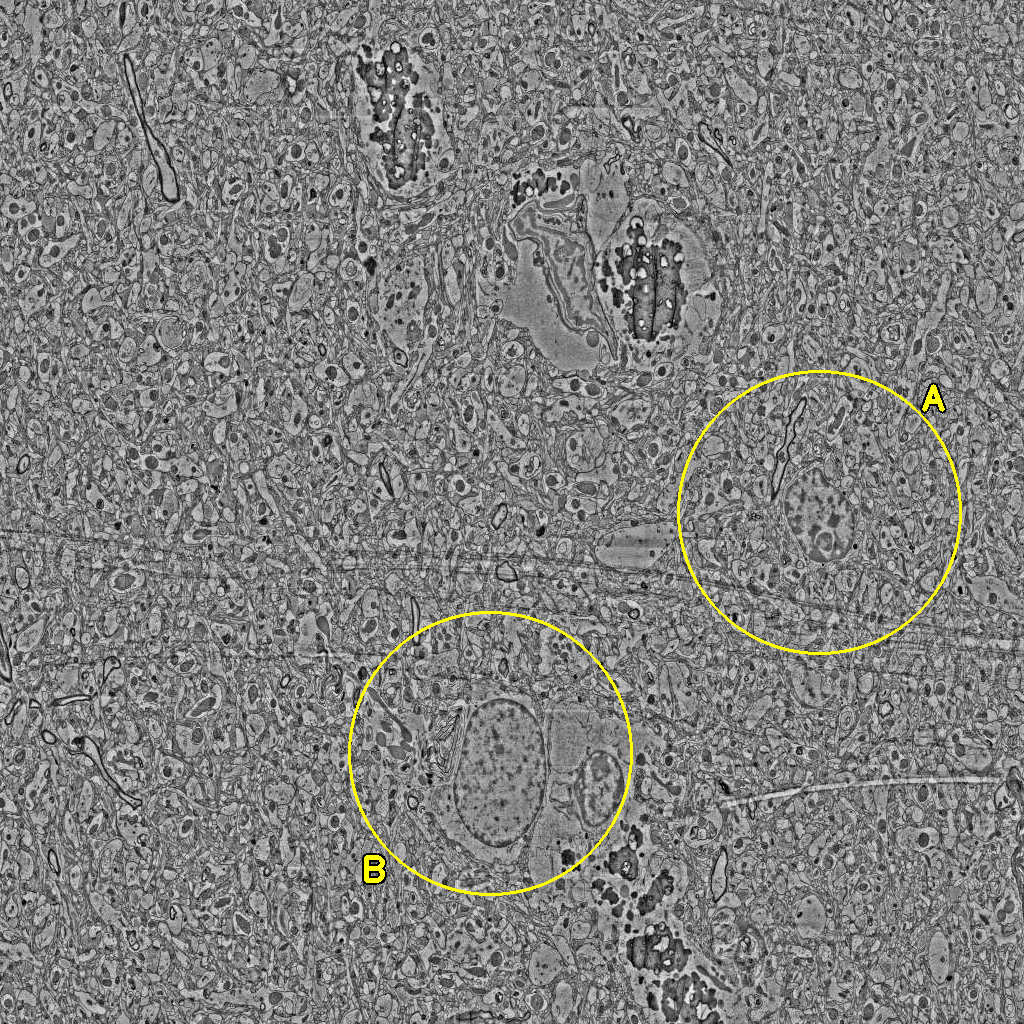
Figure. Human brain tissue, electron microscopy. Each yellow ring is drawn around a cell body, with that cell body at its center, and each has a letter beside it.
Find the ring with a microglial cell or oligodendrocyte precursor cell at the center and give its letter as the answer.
A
